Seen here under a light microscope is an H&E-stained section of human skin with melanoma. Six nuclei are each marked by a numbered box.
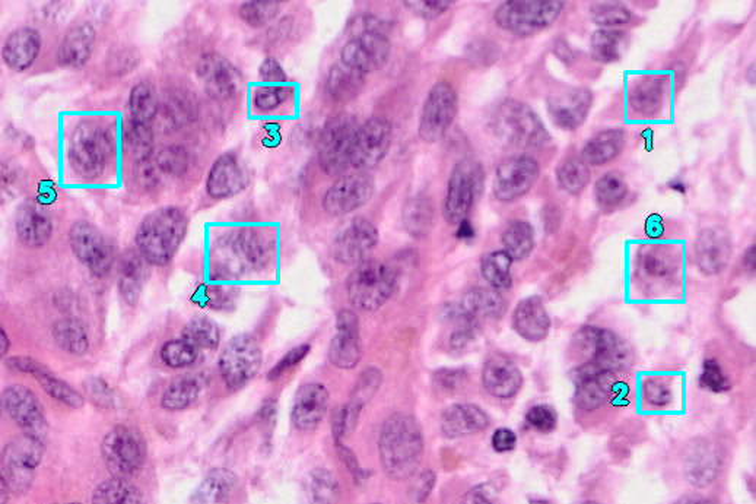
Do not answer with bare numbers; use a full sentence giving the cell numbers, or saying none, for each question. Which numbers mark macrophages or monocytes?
The cells carrying the numbers 2 and 3 are macrophages or monocytes.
